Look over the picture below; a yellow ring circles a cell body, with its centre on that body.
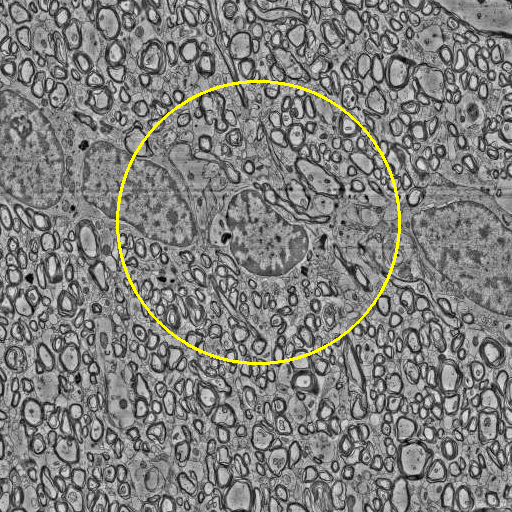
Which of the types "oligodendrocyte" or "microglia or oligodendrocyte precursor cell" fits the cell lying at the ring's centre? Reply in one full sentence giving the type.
The picture shows a microglial cell or oligodendrocyte precursor cell at the centre of the yellow ring.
